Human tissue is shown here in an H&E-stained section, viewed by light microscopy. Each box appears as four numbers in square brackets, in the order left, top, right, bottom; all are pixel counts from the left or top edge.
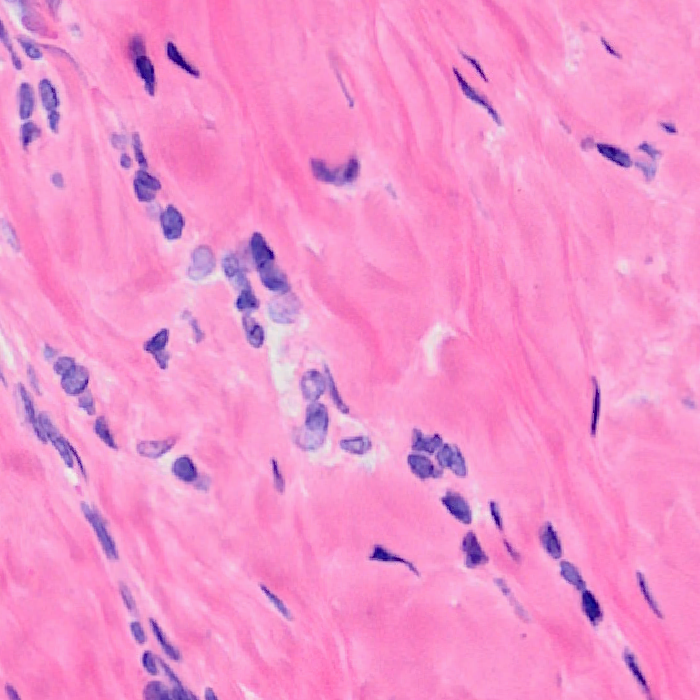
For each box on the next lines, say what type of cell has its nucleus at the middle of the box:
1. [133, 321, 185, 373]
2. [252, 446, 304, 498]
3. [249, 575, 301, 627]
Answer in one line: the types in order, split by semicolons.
lymphocyte; fibroblast; fibroblast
